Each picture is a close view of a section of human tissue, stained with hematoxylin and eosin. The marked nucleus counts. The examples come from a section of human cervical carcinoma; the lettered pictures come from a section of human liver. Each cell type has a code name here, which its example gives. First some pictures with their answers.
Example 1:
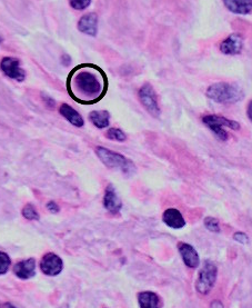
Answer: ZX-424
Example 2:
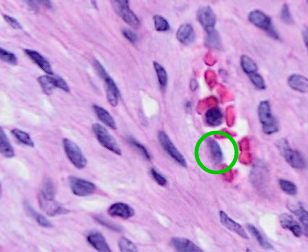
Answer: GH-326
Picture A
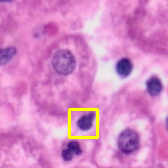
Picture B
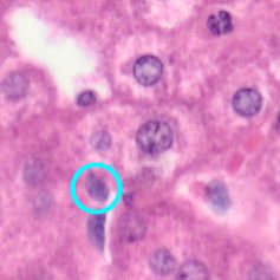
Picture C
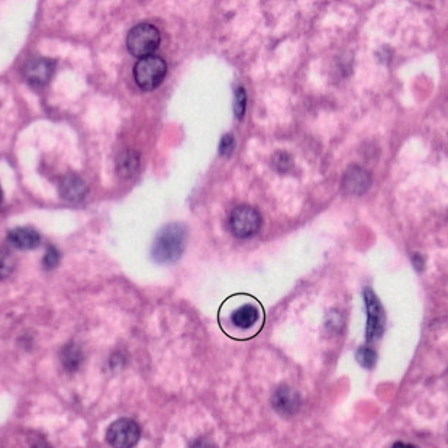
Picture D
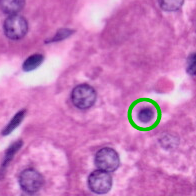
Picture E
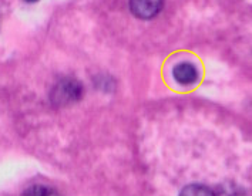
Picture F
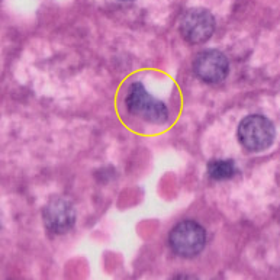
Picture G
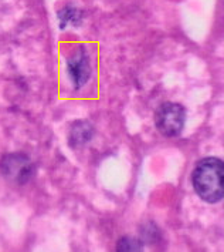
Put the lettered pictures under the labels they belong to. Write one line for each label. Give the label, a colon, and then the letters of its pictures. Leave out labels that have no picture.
ZX-424: A, C, D, E
GH-326: B, F, G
